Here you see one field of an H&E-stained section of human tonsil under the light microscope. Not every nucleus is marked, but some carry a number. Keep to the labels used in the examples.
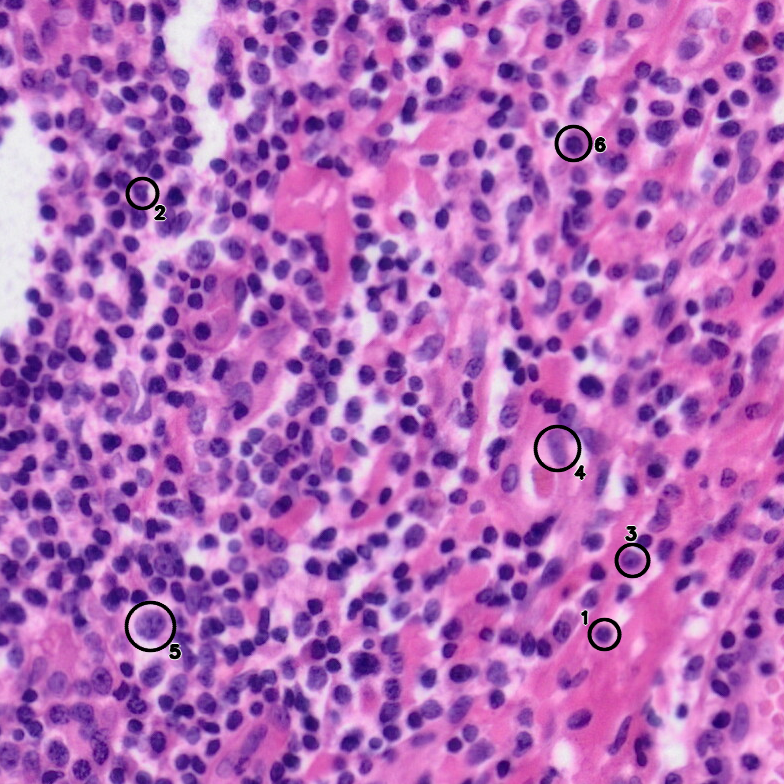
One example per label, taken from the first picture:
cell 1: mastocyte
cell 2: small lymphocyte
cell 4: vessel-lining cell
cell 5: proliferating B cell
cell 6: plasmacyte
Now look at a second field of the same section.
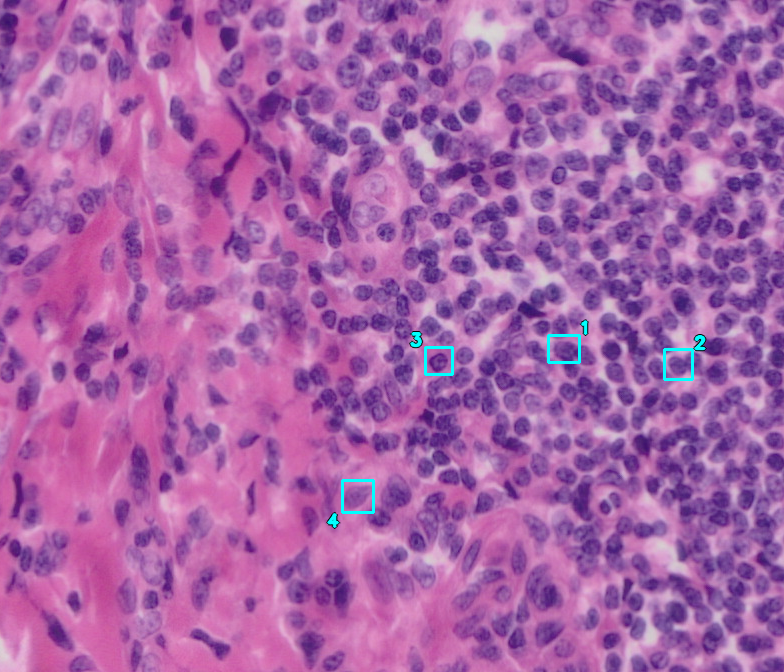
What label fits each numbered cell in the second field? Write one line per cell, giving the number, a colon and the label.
1: small lymphocyte
2: small lymphocyte
3: plasmacyte
4: vessel-lining cell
